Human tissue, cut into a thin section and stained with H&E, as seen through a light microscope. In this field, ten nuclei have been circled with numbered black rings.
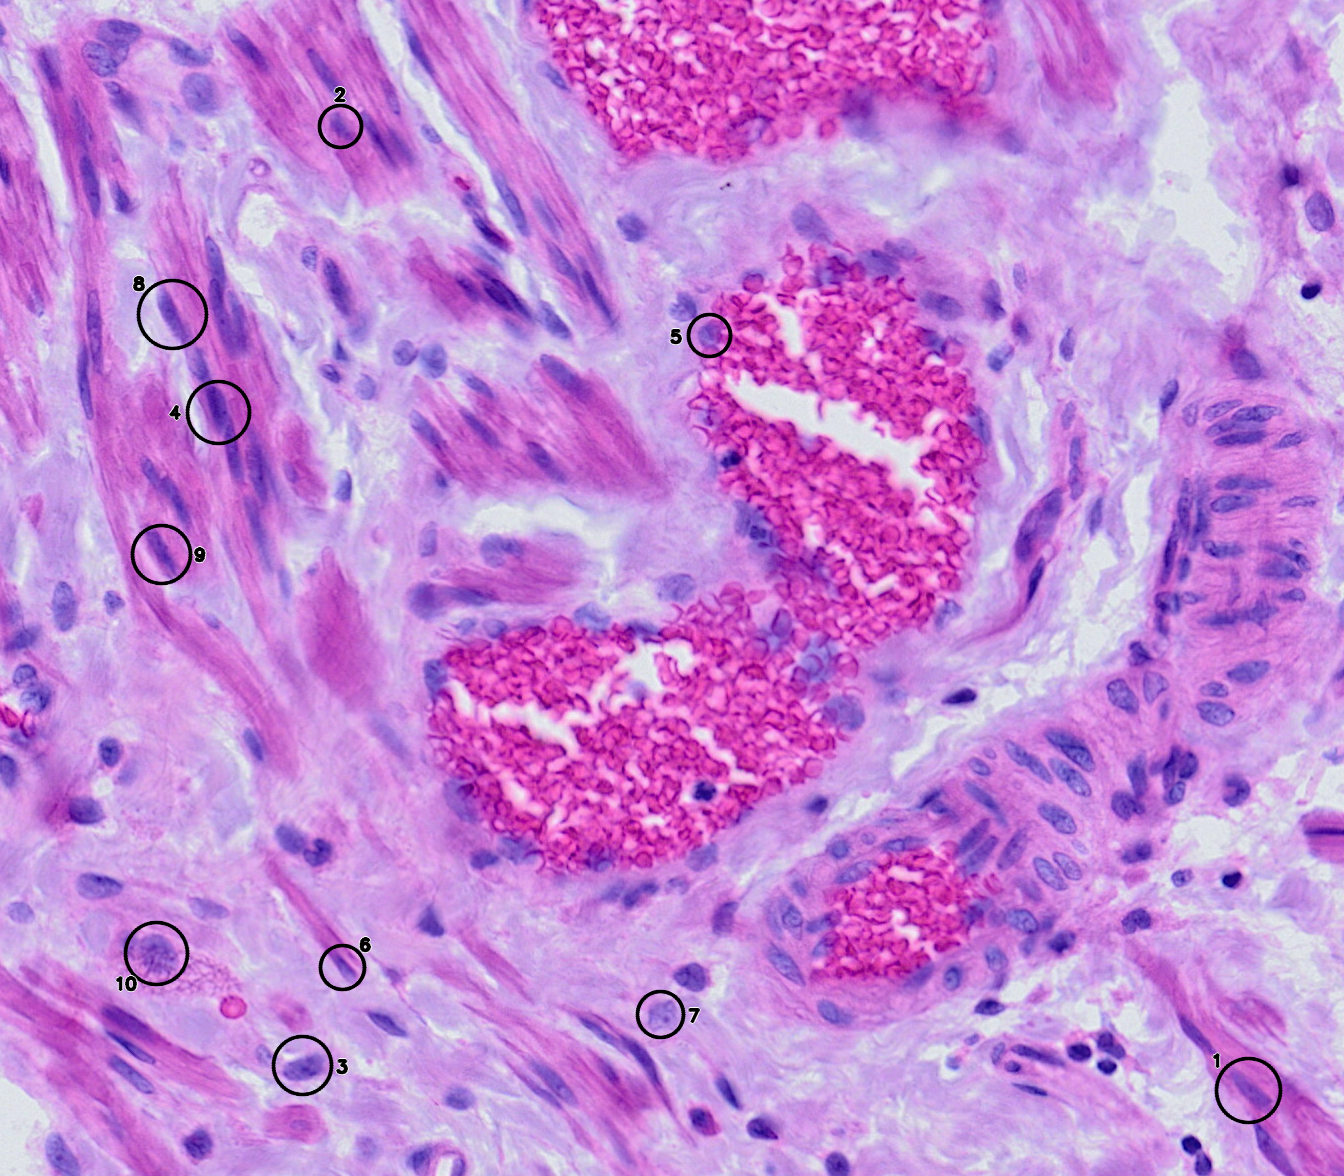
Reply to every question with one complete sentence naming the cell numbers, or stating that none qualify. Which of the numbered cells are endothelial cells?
The cells labelled 5 and 10 in this section are endothelial cells.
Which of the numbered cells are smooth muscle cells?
Into the category of smooth muscle cells fall the cells numbered 1, 2, 4, 6, 8 and 9.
